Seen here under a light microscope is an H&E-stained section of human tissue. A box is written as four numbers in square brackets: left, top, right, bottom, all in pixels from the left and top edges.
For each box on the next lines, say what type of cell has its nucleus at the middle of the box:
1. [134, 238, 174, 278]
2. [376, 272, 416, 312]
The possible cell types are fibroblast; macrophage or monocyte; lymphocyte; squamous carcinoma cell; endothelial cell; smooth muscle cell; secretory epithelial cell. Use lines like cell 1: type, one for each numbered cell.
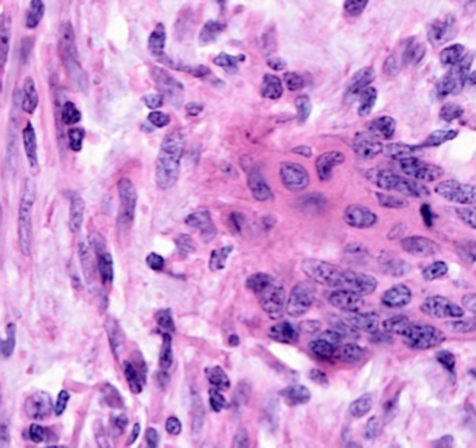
cell 1: lymphocyte
cell 2: squamous carcinoma cell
